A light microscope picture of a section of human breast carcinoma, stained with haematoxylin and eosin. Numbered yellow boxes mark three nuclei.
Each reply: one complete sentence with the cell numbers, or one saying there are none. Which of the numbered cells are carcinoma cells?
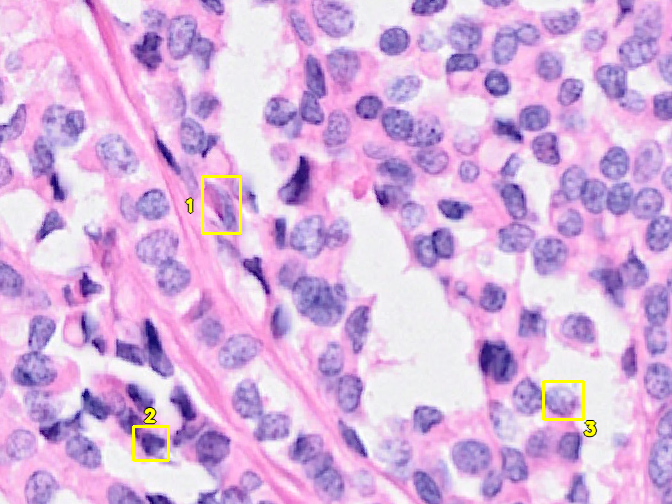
Regarding the numbered cells 2 and 3, these are carcinoma cells.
